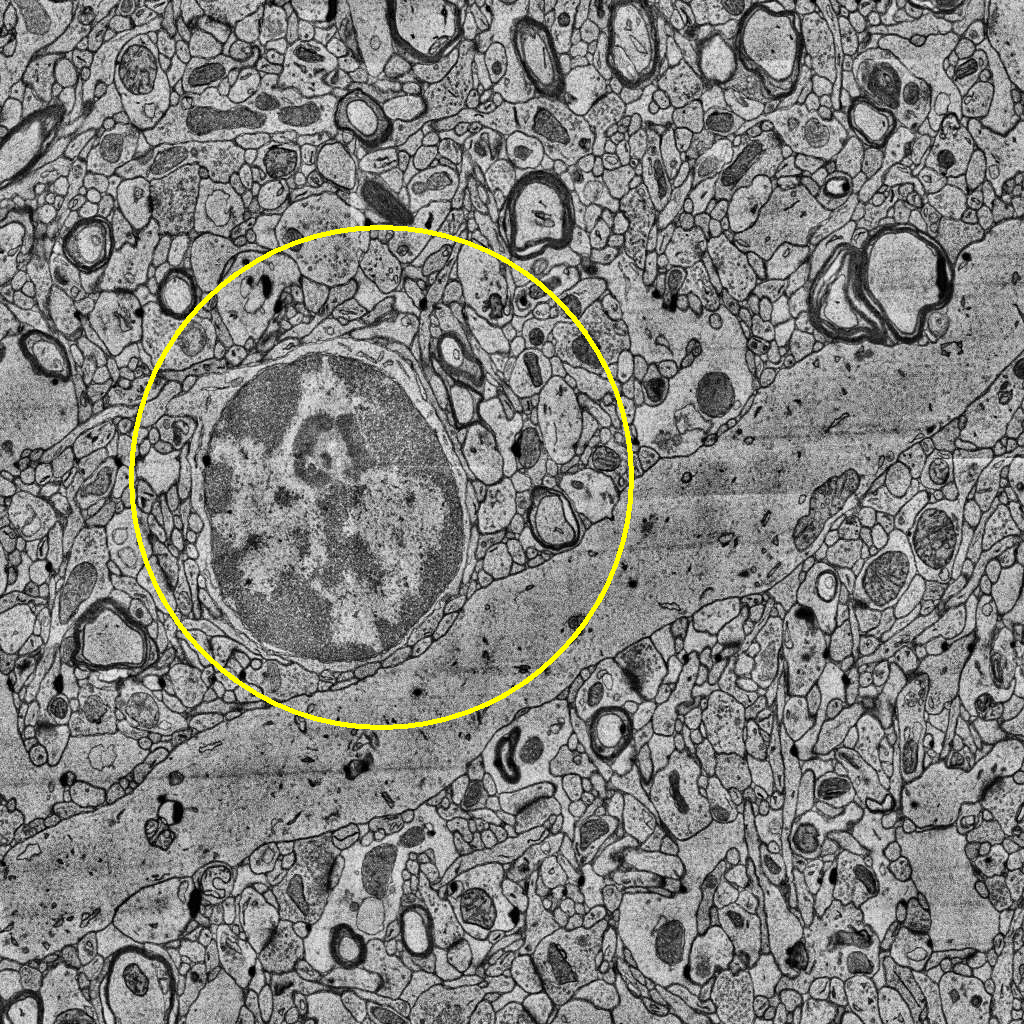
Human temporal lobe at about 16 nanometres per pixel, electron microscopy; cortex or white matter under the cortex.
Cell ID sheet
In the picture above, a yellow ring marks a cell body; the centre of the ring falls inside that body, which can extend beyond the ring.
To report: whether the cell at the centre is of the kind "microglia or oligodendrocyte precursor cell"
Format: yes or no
yes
